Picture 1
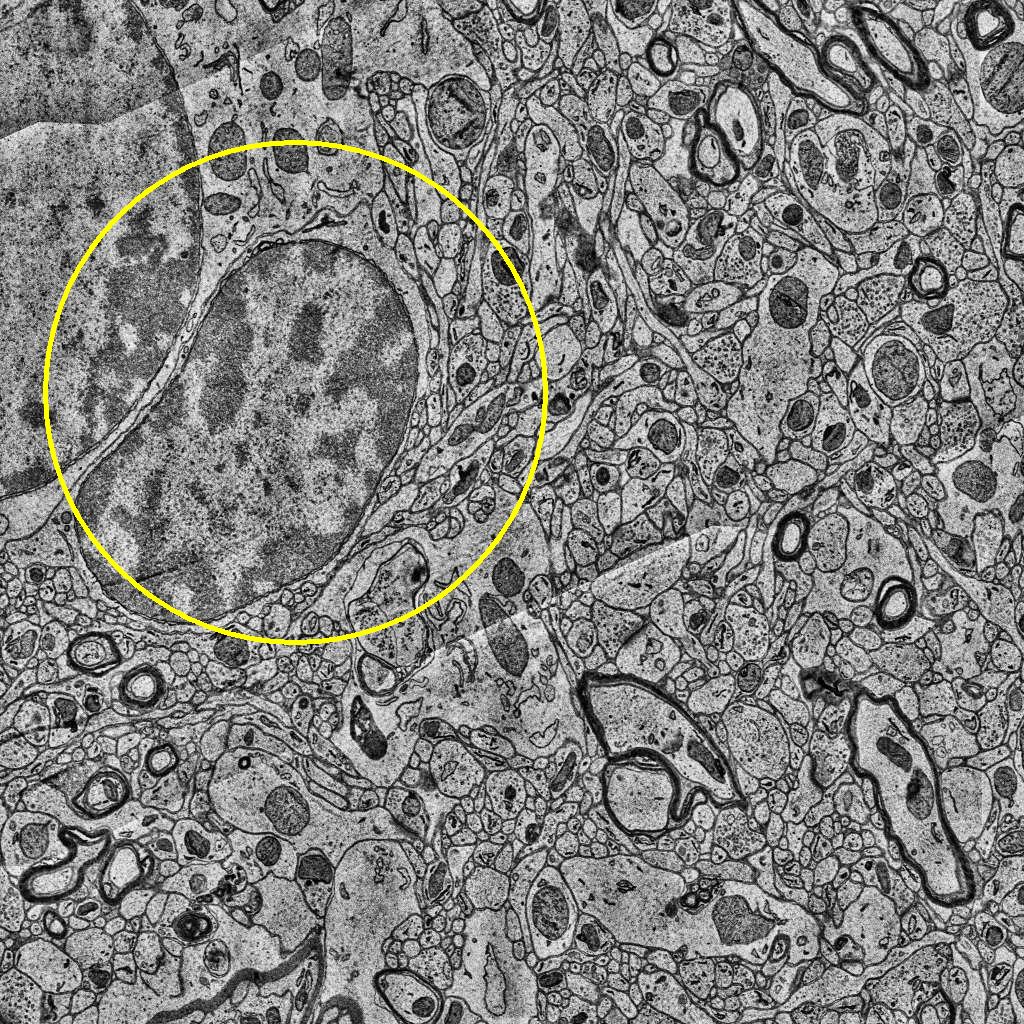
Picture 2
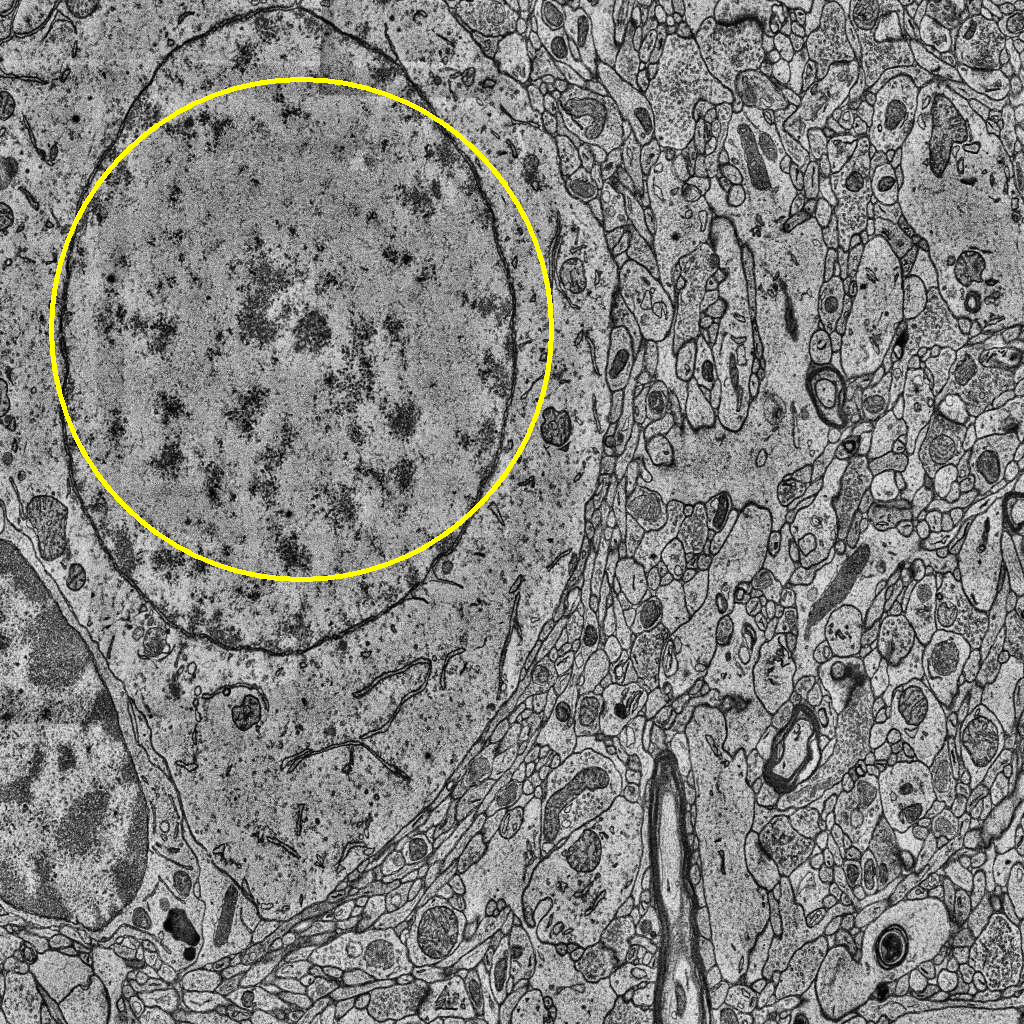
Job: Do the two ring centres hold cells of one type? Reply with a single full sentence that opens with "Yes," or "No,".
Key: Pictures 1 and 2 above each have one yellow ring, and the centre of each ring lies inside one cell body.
No, the cells at the two ring centres are of two separate types.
